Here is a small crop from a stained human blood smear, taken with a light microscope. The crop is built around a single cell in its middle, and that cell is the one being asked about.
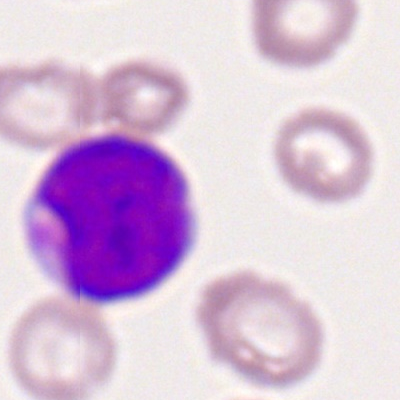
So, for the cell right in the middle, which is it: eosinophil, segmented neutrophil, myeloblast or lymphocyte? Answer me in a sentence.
The crop shows a myeloblast in its centre.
